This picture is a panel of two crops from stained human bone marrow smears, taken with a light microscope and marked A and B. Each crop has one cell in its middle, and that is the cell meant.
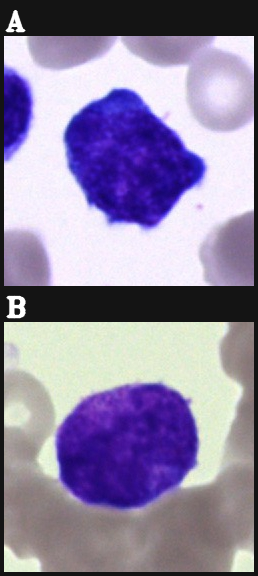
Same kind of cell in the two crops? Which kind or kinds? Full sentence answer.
Yes, the two crops both show blasts.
